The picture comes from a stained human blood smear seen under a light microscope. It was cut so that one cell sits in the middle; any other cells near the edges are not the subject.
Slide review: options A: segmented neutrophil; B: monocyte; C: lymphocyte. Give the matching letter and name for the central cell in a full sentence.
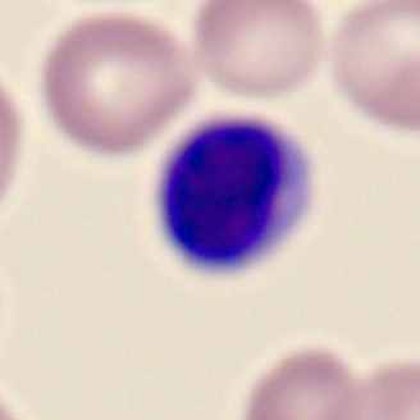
Here the right option is C, as the cell in the middle is a lymphocyte.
